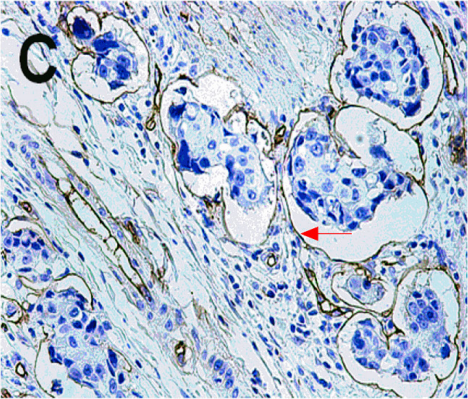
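This shows rounded nests of cancer cells sitting inside spaces lined by a thin brown endothelial line. The tumour cells have blue, rather crowded nuclei and little, pale cytoplasm. Clear space separates the cell nests from the brown lining on several sides. The surrounding stroma is loose and fibrous with scattered elongated nuclei, and several smaller brown-outlined vessels lie within it.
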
